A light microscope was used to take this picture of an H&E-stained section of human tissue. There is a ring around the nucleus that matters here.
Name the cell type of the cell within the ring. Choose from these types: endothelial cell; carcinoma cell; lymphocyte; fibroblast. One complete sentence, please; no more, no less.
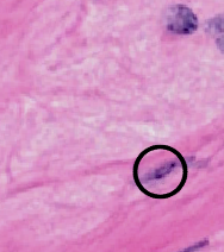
It is as a fibroblast that the cell within the ring is classified.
